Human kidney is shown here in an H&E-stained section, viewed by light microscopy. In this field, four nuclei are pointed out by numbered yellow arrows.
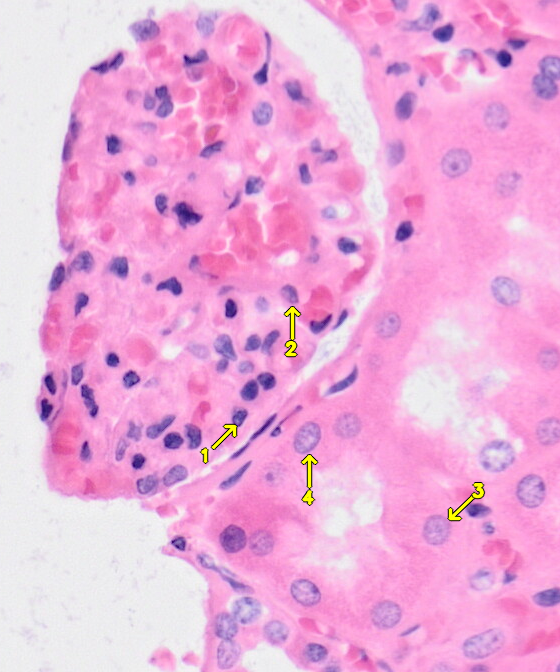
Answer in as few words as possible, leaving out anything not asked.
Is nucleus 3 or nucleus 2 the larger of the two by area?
3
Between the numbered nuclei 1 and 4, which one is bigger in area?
4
